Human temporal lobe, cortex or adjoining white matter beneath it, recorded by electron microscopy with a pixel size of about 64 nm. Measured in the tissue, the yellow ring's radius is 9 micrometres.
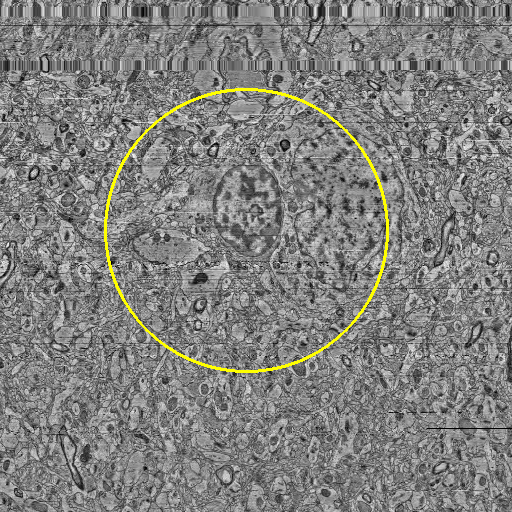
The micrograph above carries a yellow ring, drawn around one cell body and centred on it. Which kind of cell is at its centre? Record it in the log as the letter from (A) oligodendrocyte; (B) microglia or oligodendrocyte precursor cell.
A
